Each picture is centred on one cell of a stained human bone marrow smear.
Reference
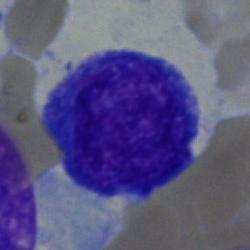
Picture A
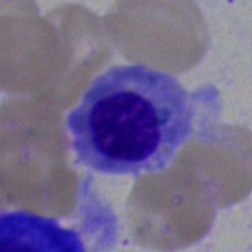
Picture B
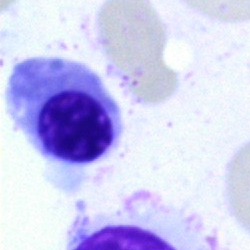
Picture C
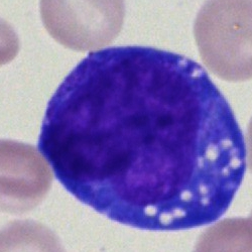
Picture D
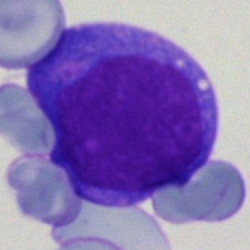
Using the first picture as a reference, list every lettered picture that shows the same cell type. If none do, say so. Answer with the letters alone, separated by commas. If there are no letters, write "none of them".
C, D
